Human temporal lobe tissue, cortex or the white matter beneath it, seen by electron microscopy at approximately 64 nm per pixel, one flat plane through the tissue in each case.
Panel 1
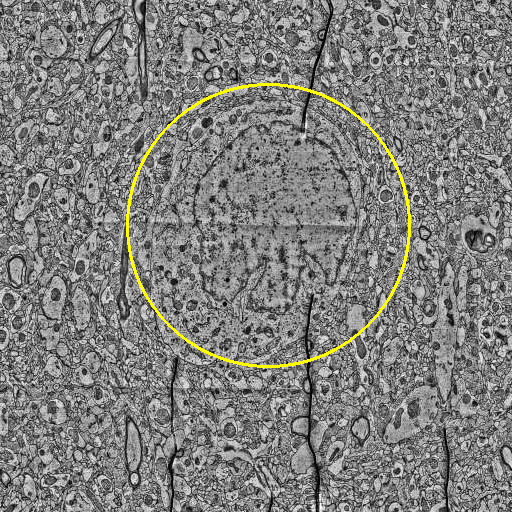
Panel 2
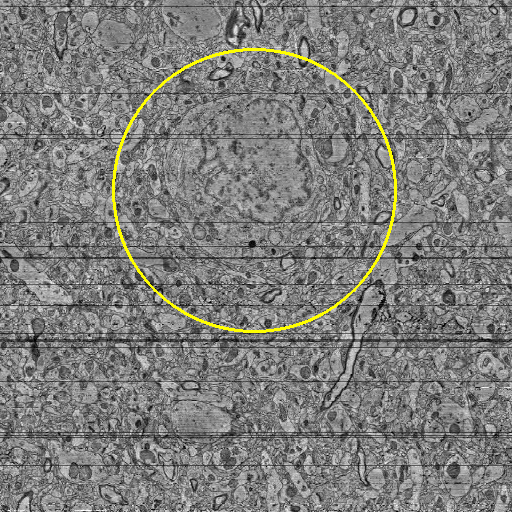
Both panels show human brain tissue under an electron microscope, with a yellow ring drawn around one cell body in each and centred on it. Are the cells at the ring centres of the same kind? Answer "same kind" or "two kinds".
same kind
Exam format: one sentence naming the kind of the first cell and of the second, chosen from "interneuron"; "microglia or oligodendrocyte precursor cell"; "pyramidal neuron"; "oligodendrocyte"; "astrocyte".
Each of the two rings is centred on an interneuron.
